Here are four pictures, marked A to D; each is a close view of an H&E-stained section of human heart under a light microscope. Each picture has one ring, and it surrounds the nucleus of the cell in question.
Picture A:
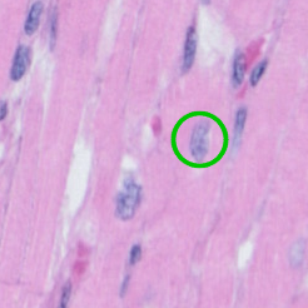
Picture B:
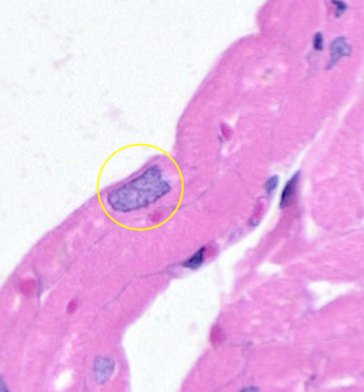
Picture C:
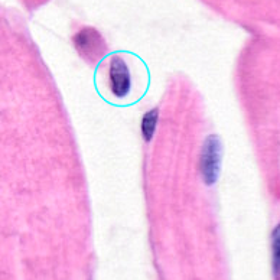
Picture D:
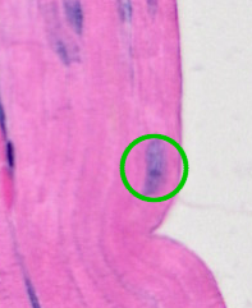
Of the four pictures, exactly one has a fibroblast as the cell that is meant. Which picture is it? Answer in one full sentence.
It is picture C that shows the fibroblast.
